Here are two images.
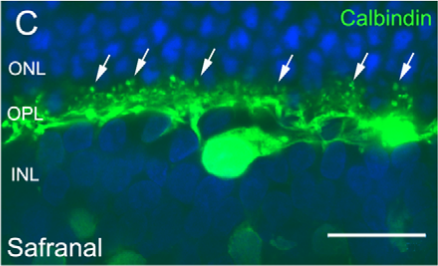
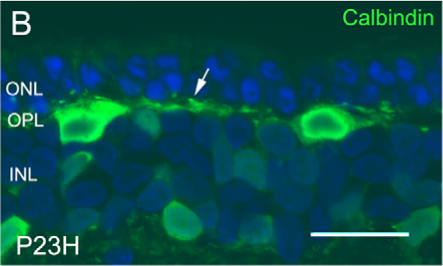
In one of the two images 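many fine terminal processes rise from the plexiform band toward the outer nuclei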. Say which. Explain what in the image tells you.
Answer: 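The first image. First image: numerous green sprouting tips reach up into the base of the outer nuclear layer.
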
